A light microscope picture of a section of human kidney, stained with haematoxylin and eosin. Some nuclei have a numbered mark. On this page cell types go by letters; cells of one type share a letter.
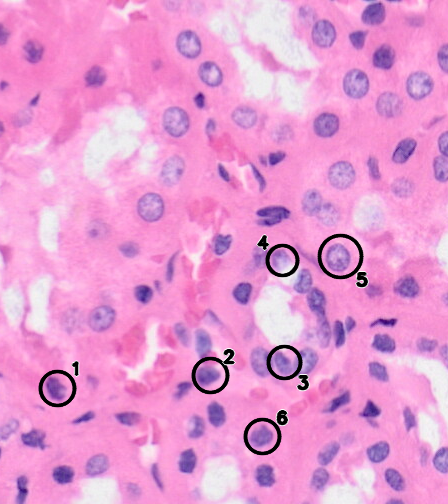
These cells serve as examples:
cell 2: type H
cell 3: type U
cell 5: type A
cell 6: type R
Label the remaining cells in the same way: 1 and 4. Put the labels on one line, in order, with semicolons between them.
type A; type U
